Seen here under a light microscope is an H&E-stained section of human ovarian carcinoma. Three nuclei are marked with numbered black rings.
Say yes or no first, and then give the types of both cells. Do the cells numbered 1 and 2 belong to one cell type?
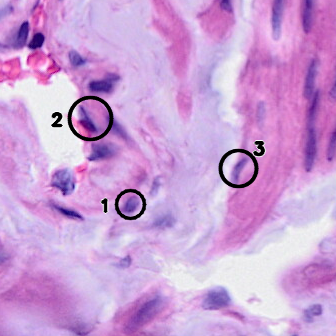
No, not so; cell 1 is a smooth muscle cell and cell 2 is an endothelial cell.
